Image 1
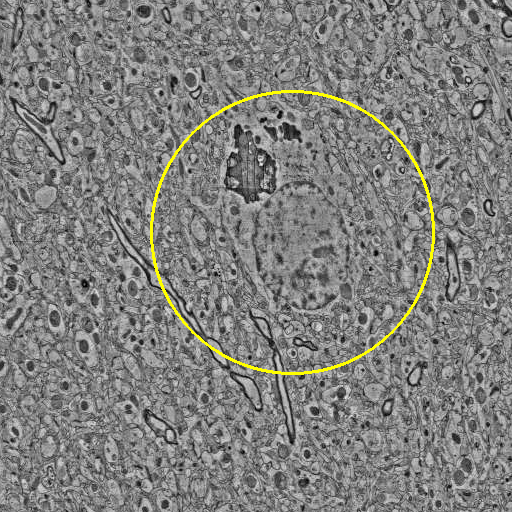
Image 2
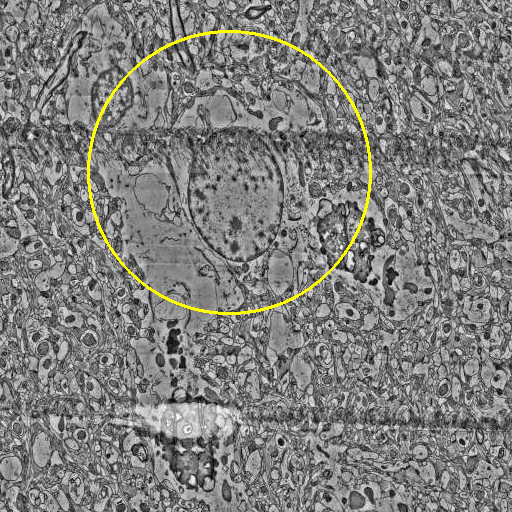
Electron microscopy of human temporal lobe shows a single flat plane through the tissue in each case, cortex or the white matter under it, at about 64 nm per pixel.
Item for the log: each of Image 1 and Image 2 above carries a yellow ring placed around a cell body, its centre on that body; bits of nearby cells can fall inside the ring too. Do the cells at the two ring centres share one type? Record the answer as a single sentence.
Yes, the two cells at the ring centres in Image 1 and Image 2 share one type.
